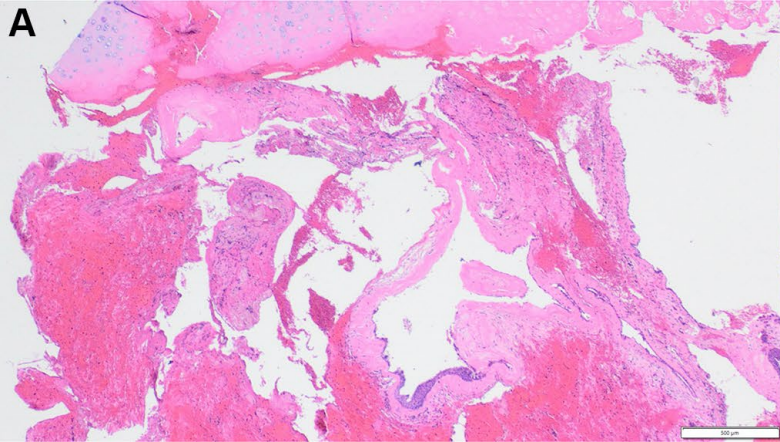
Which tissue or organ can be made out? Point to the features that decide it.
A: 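Below it lie loose fibrous and bloody fragments with a thin lining strip.
Conclusion: cartilage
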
